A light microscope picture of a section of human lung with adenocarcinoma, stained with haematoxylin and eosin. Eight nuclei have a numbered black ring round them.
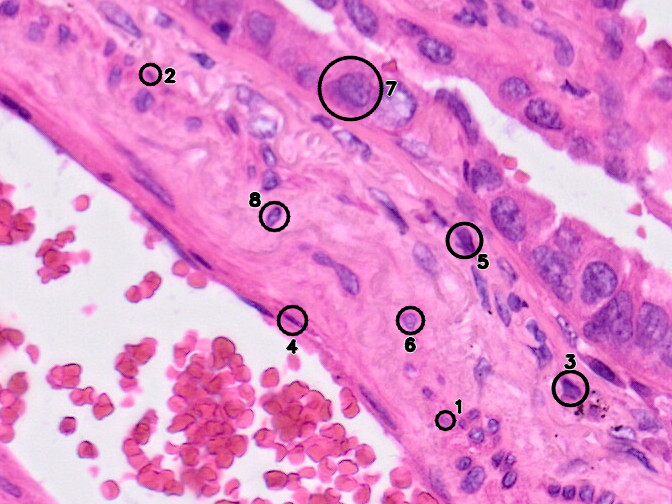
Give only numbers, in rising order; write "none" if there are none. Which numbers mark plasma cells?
3, 5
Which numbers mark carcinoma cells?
7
